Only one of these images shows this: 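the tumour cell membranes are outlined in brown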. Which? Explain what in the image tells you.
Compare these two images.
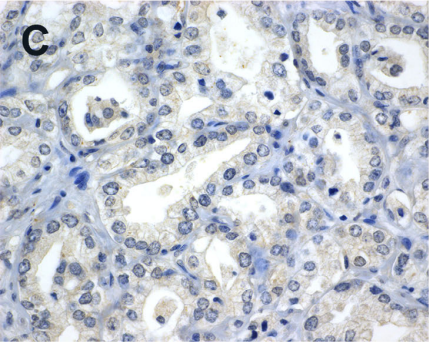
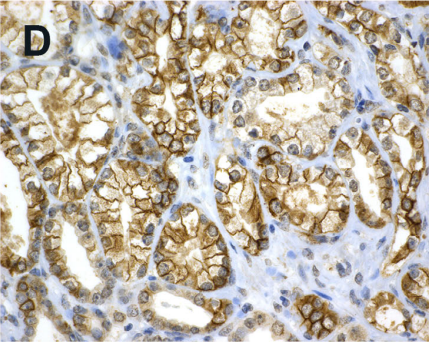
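First image: tumour glands show blue nuclei with no brown outlining of cell borders. Second image: tumour glands have distinct brown cell borders and brownish cytoplasm. The answer: the second image.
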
